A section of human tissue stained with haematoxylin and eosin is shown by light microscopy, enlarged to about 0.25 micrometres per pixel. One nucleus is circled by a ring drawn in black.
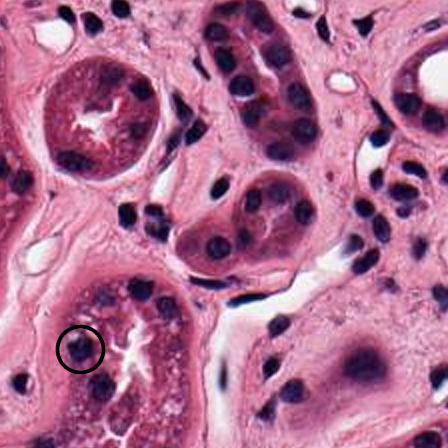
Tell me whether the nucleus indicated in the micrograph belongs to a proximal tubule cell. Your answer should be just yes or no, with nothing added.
yes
